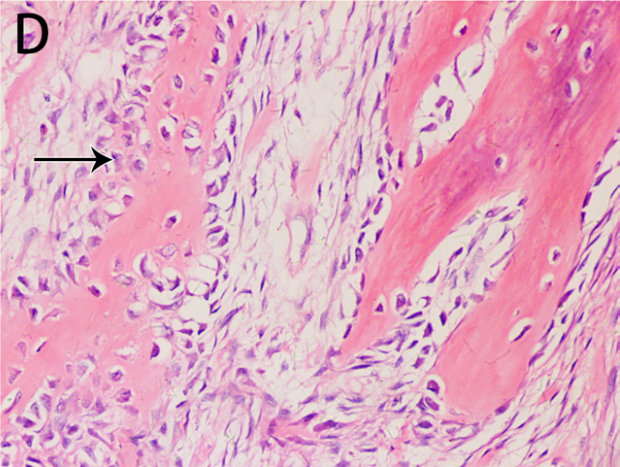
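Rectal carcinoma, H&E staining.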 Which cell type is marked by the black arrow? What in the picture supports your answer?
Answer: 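The arrow points to plump cells lying along the edge of a pink bony trabecula. These cells sit at the border between the pink matrix and the loose stroma.
Osteoblasts.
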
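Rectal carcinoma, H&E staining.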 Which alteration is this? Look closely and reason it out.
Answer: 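Pink bony trabeculae with cells sitting in lacunae. Trabeculae lie within loose spindle-cell stroma, with no tumor glands in view.
Benign osseous metaplasia.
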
